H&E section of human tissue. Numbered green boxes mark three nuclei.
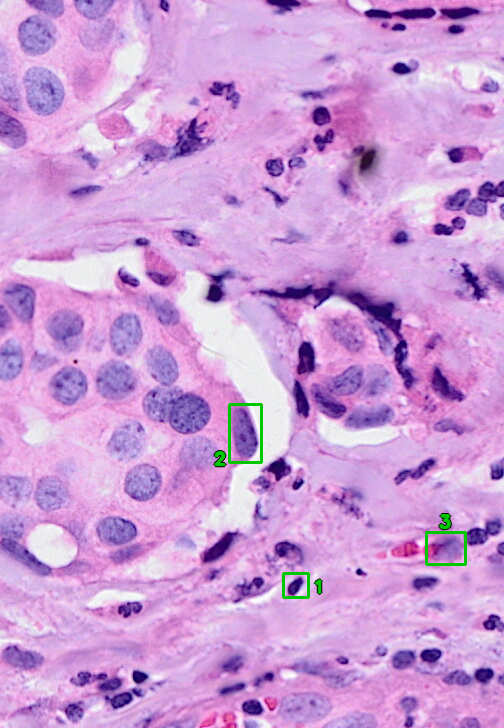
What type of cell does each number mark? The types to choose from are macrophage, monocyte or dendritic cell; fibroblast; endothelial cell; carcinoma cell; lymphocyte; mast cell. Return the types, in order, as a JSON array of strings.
["lymphocyte", "carcinoma cell", "endothelial cell"]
